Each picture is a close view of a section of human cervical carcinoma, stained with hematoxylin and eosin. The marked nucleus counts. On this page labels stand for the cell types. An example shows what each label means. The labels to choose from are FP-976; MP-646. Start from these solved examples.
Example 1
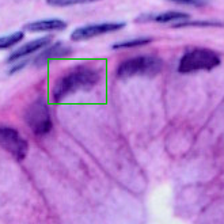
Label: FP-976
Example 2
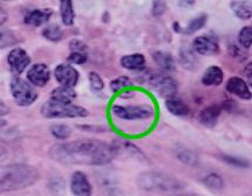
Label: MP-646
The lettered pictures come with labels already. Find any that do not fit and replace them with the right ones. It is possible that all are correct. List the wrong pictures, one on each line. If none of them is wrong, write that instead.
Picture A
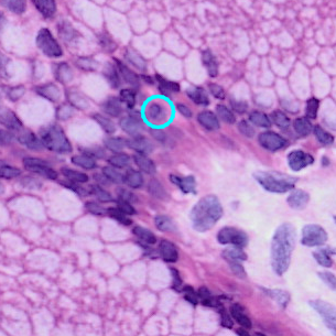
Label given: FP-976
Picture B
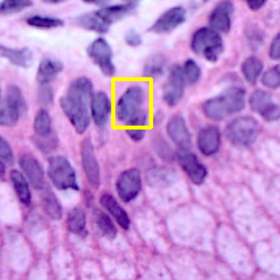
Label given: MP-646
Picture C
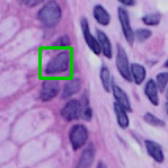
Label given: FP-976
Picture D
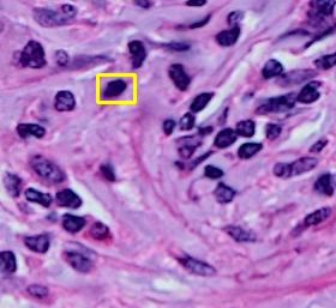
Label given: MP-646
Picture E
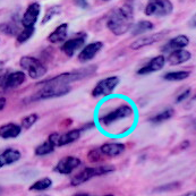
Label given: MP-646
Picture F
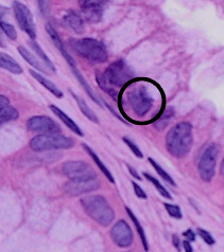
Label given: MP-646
B is labelled MP-646; correct label: FP-976
F is labelled MP-646; correct label: FP-976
